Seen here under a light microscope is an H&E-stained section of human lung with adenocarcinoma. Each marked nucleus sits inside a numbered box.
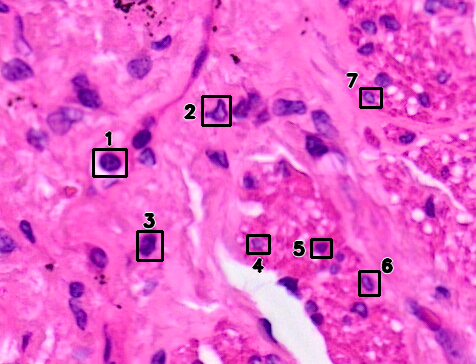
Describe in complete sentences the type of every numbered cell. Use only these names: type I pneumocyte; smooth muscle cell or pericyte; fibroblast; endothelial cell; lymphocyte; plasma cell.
Cell 1 is a lymphocyte, cell 2 is a fibroblast, cell 3 is a plasma cell, cell 4 is a smooth muscle cell or pericyte, cell 5 is a smooth muscle cell or pericyte, cell 6 is a smooth muscle cell or pericyte and cell 7 is a smooth muscle cell or pericyte.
